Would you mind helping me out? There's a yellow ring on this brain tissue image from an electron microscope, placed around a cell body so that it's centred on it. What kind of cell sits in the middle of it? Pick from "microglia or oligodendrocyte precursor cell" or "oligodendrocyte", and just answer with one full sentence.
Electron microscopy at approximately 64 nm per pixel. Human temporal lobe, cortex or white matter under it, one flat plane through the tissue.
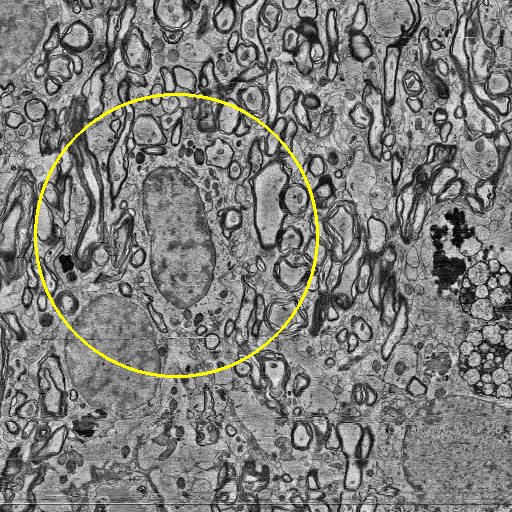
What sits in the middle of that yellow ring is a microglial cell or oligodendrocyte precursor cell, from your choices.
